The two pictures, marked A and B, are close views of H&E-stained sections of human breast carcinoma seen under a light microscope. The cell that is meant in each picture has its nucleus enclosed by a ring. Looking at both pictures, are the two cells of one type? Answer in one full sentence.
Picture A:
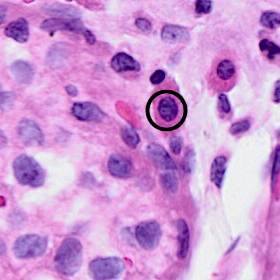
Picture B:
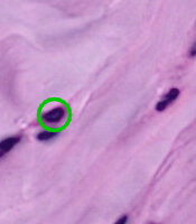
Yes, the two pictures both show mast cells.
